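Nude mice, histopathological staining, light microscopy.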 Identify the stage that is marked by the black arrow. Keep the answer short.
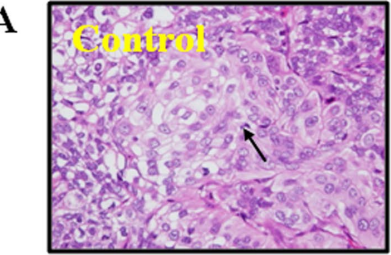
mitotic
